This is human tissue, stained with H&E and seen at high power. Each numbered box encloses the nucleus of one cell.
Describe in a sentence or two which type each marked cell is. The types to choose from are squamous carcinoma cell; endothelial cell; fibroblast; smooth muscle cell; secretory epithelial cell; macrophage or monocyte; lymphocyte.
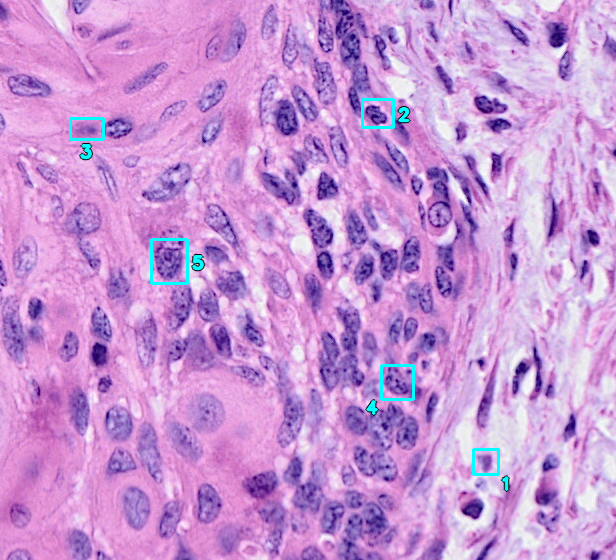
Cell 1 is a fibroblast. Cell 2 is a lymphocyte. Cells 3, 4 and 5 are squamous carcinoma cells.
